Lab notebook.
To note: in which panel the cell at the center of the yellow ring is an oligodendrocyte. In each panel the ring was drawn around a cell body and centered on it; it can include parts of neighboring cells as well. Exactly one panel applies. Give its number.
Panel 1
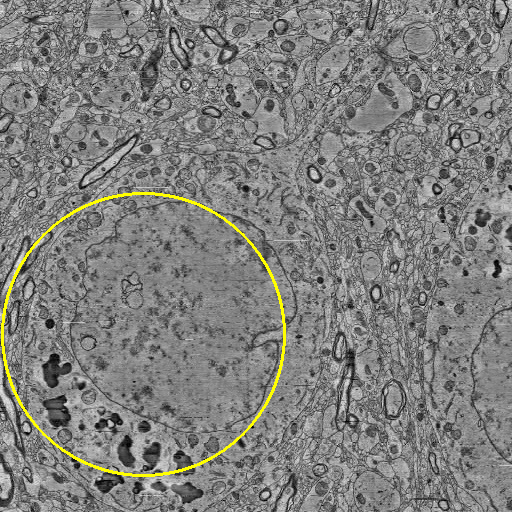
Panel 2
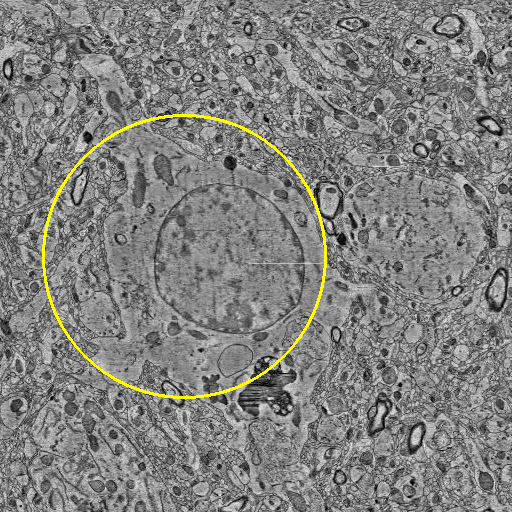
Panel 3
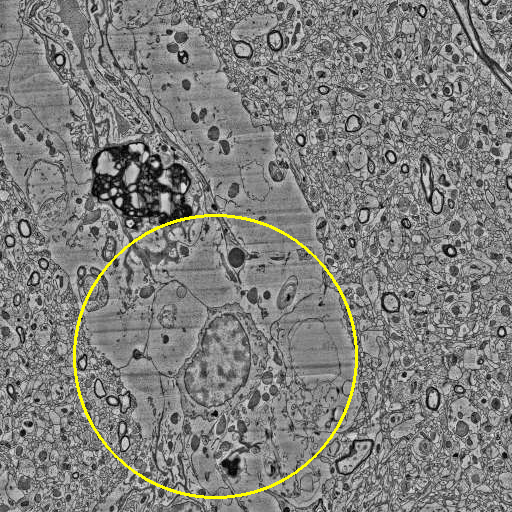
3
